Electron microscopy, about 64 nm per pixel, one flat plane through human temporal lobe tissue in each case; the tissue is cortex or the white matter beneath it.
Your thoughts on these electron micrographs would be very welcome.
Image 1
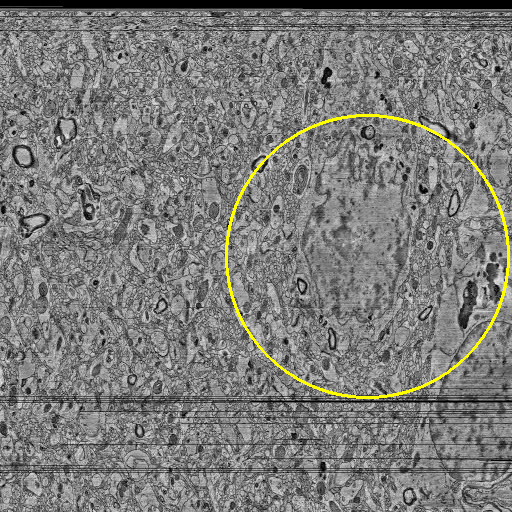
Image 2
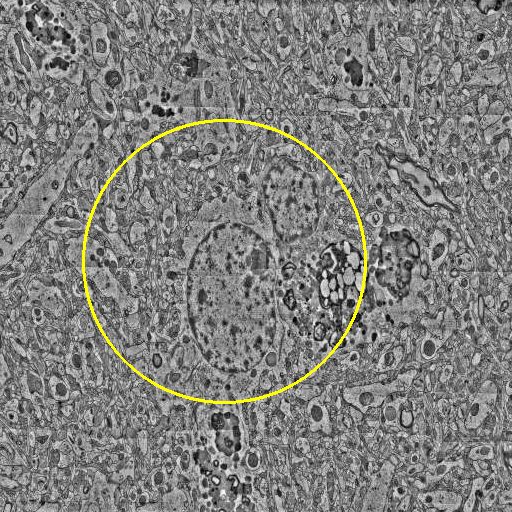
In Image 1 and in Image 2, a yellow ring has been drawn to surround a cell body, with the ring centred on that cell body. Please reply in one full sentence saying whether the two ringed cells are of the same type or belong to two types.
The ringed cells in Image 1 and Image 2 belong to two types.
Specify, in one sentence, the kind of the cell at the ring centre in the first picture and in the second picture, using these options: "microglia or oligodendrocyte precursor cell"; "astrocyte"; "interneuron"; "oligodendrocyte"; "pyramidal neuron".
So the first is an interneuron, the second an astrocyte.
